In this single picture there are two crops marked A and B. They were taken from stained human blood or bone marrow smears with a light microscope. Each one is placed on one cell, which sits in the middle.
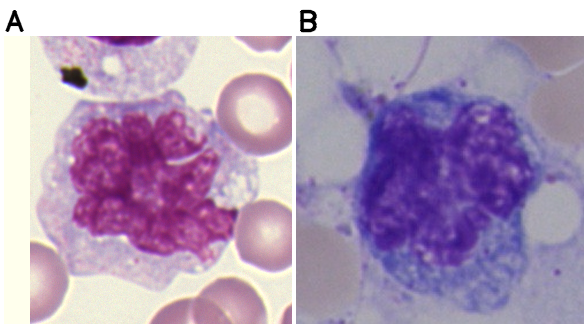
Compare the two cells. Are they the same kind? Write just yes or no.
yes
